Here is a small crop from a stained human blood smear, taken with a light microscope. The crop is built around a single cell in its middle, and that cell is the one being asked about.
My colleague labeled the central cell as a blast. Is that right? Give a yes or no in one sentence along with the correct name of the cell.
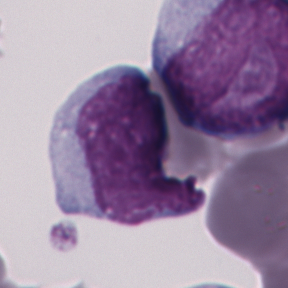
Yes, within this crop, the central cell is a blast.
